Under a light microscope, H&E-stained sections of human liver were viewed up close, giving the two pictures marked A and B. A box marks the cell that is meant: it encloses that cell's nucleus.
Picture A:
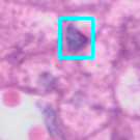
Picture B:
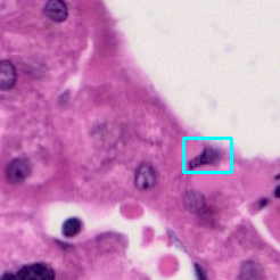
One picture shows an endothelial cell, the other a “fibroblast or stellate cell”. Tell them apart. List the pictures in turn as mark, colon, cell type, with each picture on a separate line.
A: endothelial cell
B: fibroblast or stellate cell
